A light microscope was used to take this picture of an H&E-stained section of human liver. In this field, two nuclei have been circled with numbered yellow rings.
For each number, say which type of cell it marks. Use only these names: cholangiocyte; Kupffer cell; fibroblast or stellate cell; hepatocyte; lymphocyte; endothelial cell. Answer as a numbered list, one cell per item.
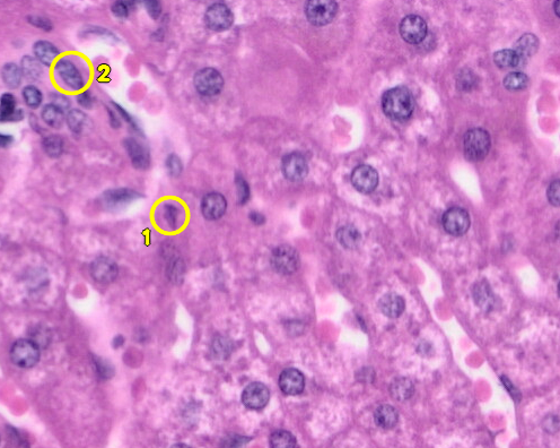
1. fibroblast or stellate cell
2. cholangiocyte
